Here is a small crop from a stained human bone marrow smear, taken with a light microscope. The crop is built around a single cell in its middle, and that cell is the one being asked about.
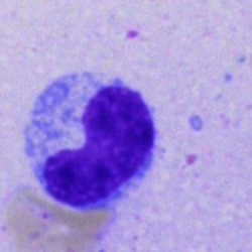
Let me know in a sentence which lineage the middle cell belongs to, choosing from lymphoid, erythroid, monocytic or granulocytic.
Included in the granulocytic lineage is the cell at the middle of the crop.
